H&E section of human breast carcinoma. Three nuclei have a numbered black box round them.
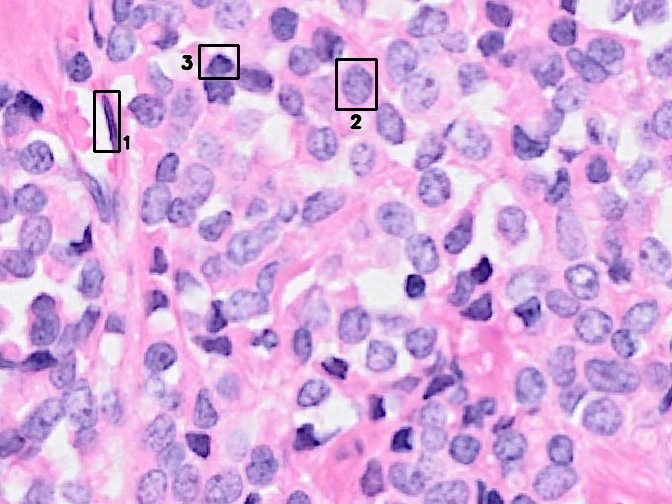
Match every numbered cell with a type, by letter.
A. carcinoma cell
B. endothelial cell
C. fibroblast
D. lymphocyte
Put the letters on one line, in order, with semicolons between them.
B; A; A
